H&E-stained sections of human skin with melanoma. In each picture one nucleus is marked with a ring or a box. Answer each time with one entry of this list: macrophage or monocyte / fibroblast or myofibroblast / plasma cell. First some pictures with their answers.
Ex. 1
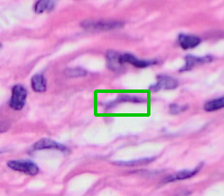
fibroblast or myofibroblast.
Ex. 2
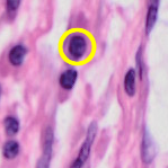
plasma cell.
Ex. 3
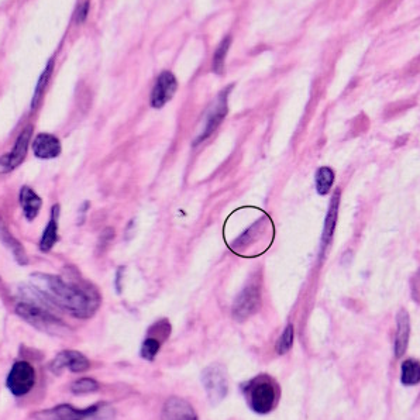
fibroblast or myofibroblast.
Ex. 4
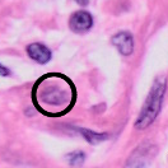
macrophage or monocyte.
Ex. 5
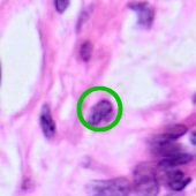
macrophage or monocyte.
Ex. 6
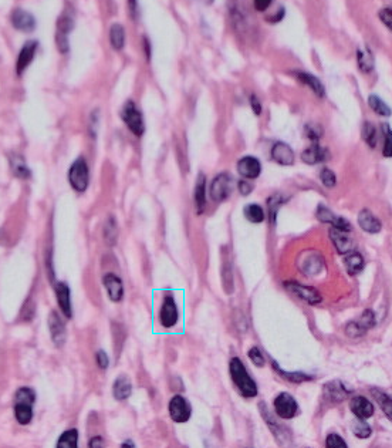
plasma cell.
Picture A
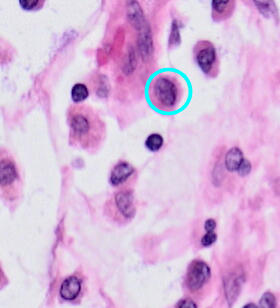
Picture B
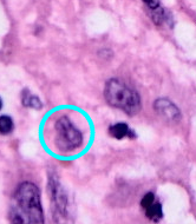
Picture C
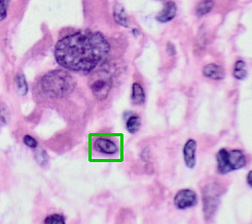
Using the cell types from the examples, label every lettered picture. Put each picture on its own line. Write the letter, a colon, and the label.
A: macrophage or monocyte.
B: macrophage or monocyte.
C: macrophage or monocyte.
